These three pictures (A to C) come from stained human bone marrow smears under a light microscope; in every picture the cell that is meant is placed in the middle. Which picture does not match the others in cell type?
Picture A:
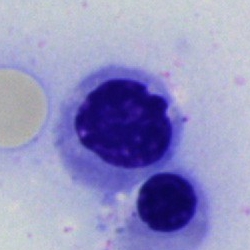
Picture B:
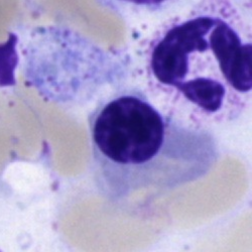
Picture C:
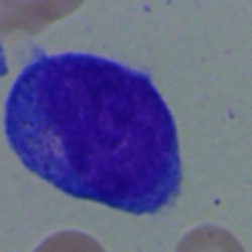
C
